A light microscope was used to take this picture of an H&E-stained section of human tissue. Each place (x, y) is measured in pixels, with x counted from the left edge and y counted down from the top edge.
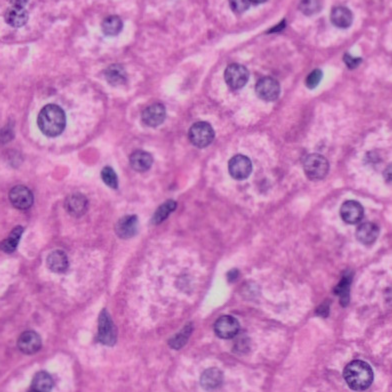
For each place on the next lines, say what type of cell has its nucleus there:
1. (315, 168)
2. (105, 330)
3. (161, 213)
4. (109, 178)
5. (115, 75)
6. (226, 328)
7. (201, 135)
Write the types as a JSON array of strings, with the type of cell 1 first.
["hepatocyte", "Kupffer cell", "fibroblast or stellate cell", "lymphocyte", "hepatocyte", "hepatocyte", "hepatocyte"]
